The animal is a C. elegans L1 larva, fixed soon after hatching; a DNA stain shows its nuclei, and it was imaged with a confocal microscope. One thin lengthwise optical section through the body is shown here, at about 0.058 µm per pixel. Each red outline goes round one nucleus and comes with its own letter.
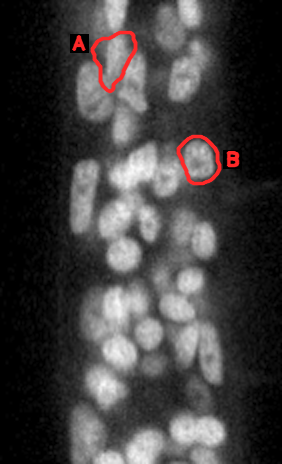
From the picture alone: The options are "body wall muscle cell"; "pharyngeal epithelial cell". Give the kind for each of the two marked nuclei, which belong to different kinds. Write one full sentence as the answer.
A is from a pharyngeal epithelial cell, and B is from a body wall muscle cell.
